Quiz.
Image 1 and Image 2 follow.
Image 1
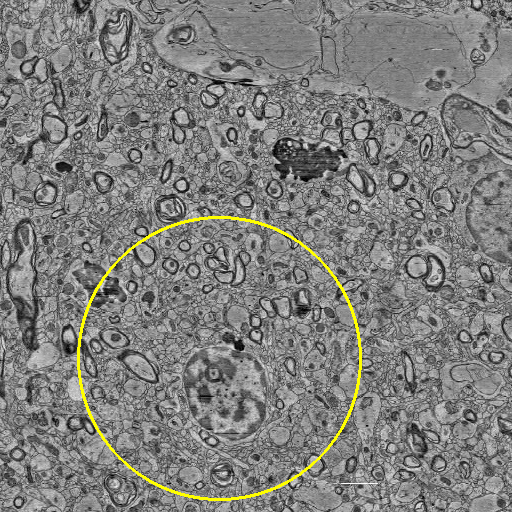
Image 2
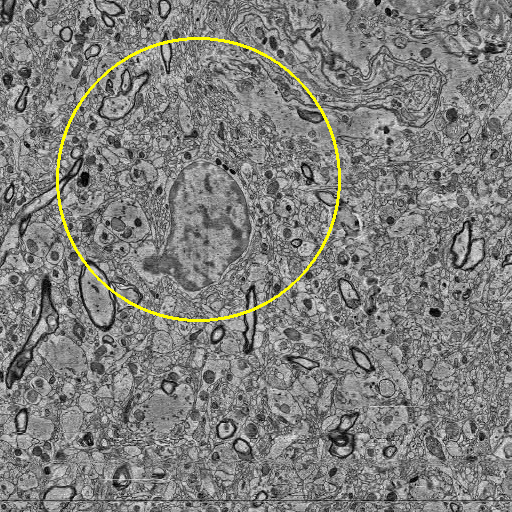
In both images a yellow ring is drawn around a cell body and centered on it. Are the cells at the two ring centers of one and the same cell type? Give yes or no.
yes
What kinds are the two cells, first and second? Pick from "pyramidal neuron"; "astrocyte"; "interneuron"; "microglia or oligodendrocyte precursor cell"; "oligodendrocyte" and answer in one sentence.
The cell at the ring centre is a microglial cell or oligodendrocyte precursor cell in both pictures.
